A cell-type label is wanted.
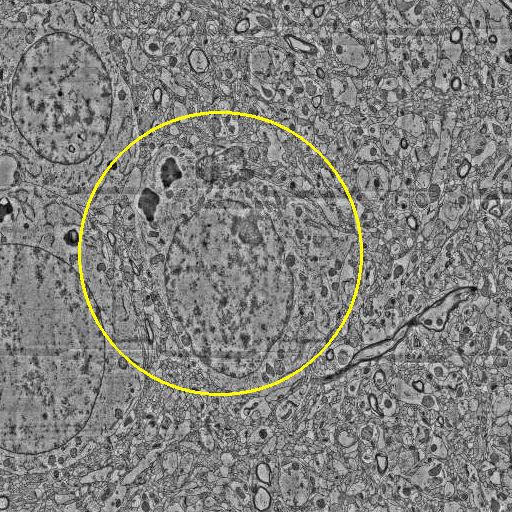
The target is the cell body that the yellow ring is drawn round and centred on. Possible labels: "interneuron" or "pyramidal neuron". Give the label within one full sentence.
Of the labels offered, the cell in the middle of the yellow ring is an interneuron.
